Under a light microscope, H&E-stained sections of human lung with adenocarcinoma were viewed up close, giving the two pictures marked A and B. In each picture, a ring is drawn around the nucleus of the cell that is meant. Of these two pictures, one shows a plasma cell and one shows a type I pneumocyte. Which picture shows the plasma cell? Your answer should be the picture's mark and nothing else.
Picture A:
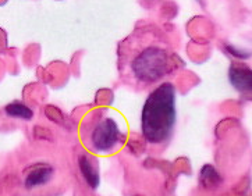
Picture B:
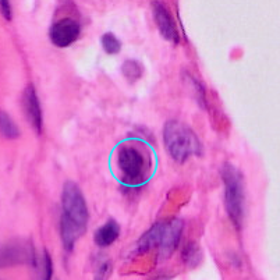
B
